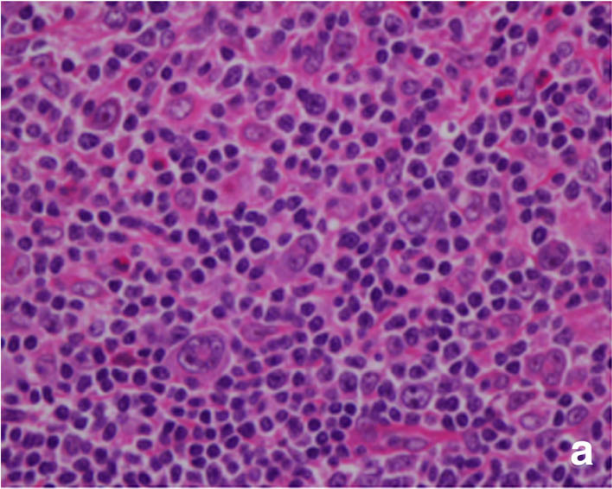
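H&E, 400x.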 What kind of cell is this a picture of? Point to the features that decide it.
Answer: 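Mutinucleated Reed-Sternberg cells. Scattered very large cells with abundant pale cytoplasm stand among small round cells. At least one large cell holds several nuclei with prominent nucleoli.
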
